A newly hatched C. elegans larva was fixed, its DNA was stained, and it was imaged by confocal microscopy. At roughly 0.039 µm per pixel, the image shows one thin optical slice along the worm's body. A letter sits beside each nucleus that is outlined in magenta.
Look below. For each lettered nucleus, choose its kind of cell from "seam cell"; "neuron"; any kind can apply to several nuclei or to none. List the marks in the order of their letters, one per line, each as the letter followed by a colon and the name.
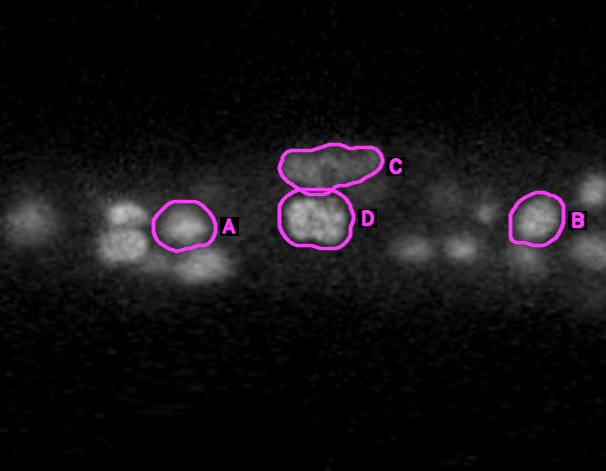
A: neuron
B: neuron
C: neuron
D: seam cell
